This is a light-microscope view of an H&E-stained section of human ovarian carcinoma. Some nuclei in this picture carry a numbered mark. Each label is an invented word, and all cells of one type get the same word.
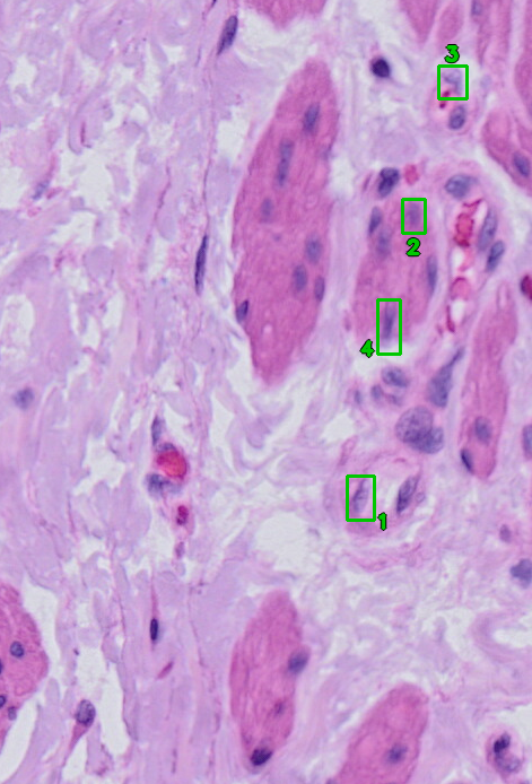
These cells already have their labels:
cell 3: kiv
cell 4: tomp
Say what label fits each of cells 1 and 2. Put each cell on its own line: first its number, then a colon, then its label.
1: kiv
2: tomp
